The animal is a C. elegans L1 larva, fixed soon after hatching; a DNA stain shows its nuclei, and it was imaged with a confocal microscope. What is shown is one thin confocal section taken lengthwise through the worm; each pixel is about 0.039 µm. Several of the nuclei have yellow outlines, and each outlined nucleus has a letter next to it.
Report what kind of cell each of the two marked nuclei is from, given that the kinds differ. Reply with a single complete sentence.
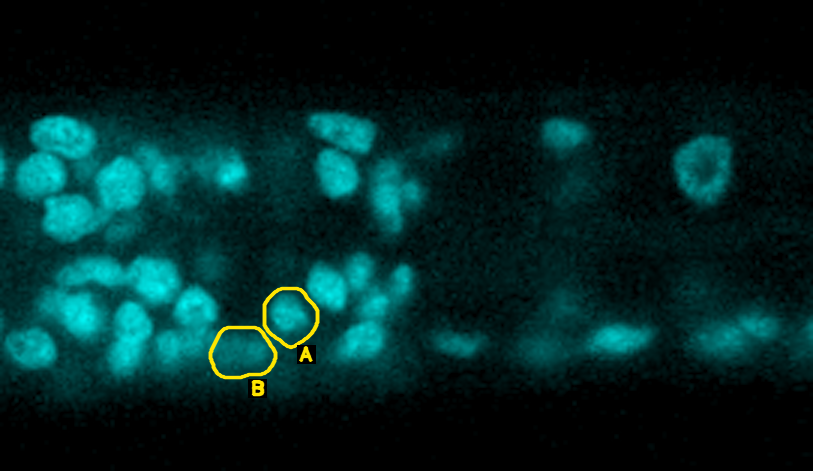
A is in a pharyngeal marginal cell and B is in a neuron.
